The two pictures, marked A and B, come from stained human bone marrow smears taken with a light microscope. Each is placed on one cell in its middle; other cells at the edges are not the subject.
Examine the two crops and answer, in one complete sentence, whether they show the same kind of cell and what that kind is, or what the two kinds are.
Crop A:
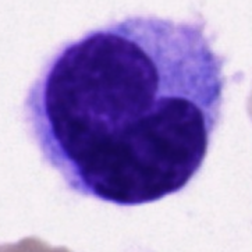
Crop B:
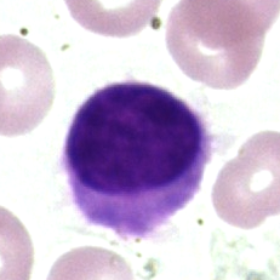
Yes, as an answer for this item, both crops show hairy cells.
